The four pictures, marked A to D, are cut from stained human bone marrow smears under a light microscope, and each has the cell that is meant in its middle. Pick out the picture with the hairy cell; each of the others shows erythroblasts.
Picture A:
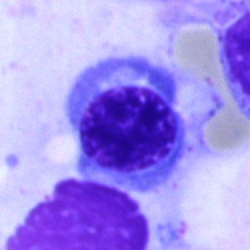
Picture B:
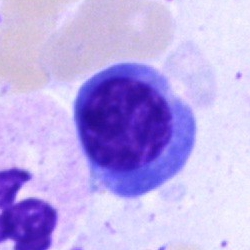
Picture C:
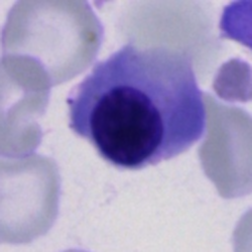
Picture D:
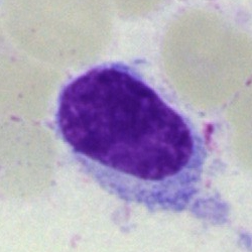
D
